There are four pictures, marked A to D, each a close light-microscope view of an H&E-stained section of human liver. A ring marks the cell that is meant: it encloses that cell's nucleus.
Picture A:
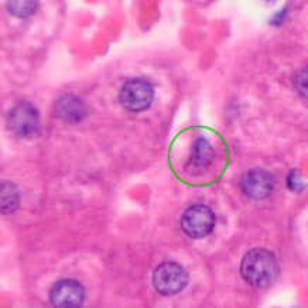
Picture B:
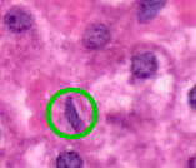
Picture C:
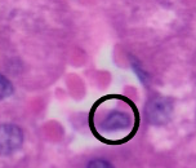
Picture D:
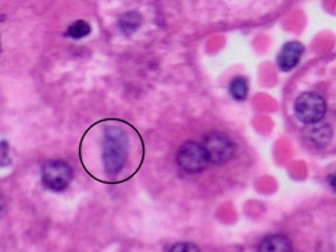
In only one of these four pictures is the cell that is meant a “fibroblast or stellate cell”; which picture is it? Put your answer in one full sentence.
Picture B is the one that shows the “fibroblast or stellate cell”.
